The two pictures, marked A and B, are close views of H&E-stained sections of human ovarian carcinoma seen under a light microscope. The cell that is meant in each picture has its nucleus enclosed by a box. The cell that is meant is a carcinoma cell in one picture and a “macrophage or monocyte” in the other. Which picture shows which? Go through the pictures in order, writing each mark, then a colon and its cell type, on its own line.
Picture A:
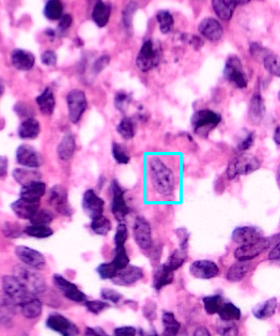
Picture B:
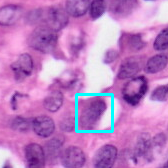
A: macrophage or monocyte
B: carcinoma cell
